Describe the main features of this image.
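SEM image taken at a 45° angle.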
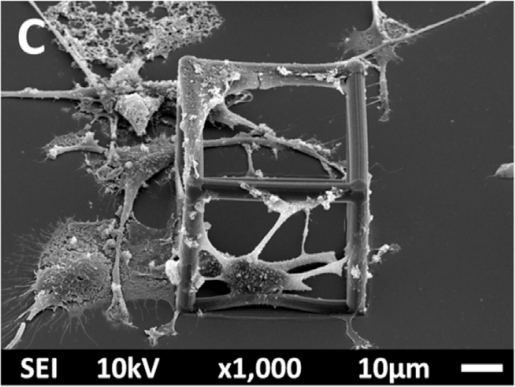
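Several cells lie flat on the surface beside the cage, with irregular spread bodies and fine fringes of thin projections at their edges. Other cells stretch long, thin, branching processes between the bars of the cage and across its open faces, so that strands of cytoplasm bridge the gaps. A small cell body sits on a lower crossbar of the cage with processes radiating from it.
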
